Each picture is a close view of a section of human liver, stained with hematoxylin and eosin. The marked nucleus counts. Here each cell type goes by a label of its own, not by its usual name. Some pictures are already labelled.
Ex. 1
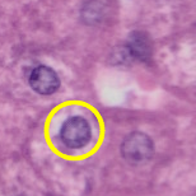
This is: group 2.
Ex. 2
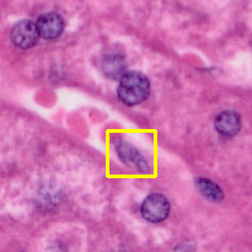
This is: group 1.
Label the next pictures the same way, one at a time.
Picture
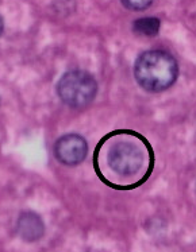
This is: group 2.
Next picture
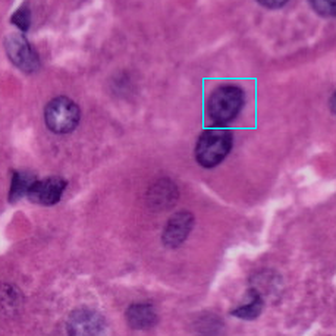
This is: group 2.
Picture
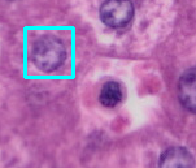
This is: group 2.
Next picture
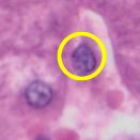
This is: group 1.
